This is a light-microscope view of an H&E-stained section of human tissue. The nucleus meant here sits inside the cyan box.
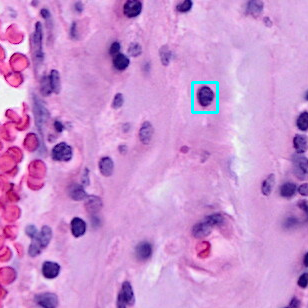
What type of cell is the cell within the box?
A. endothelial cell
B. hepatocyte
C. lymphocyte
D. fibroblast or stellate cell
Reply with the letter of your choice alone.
C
